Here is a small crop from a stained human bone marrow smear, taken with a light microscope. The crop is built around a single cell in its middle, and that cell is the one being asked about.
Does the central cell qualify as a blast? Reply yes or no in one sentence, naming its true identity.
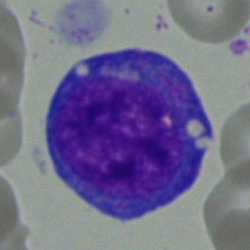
No, it is a promyelocyte and not a blast that occupies the middle of the crop.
